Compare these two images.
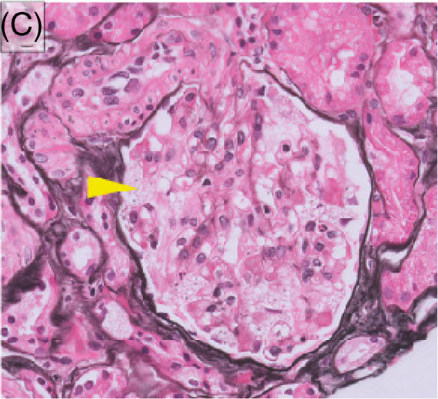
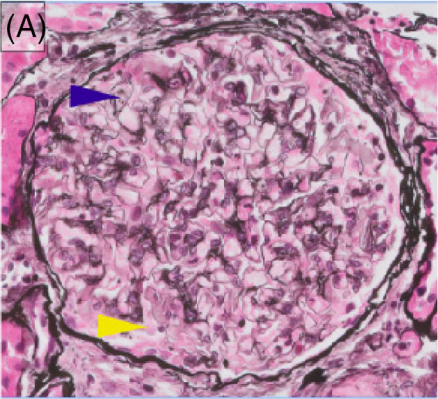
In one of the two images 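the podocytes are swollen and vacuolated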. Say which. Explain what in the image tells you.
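First image: cells on the surface of the tuft are large with pale, bubbly cytoplasm.
Answer: the first image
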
